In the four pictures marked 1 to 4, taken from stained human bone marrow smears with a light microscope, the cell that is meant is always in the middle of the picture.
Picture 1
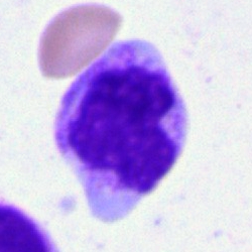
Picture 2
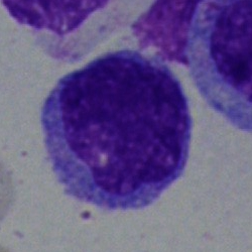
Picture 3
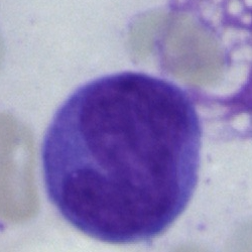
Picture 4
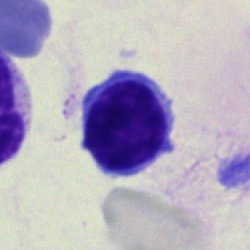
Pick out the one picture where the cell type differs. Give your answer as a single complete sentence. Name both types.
Picture 4 differs, because its cell is a lymphocyte and the rest are monocytes.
